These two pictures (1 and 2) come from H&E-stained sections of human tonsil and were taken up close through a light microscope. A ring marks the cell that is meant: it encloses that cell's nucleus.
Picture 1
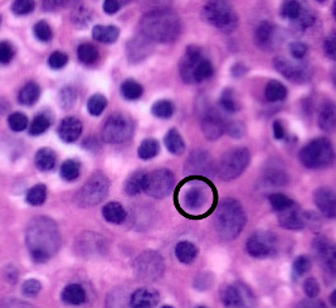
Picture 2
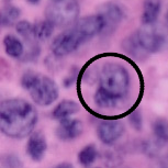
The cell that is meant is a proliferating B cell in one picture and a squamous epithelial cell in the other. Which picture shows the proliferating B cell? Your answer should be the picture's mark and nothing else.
2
